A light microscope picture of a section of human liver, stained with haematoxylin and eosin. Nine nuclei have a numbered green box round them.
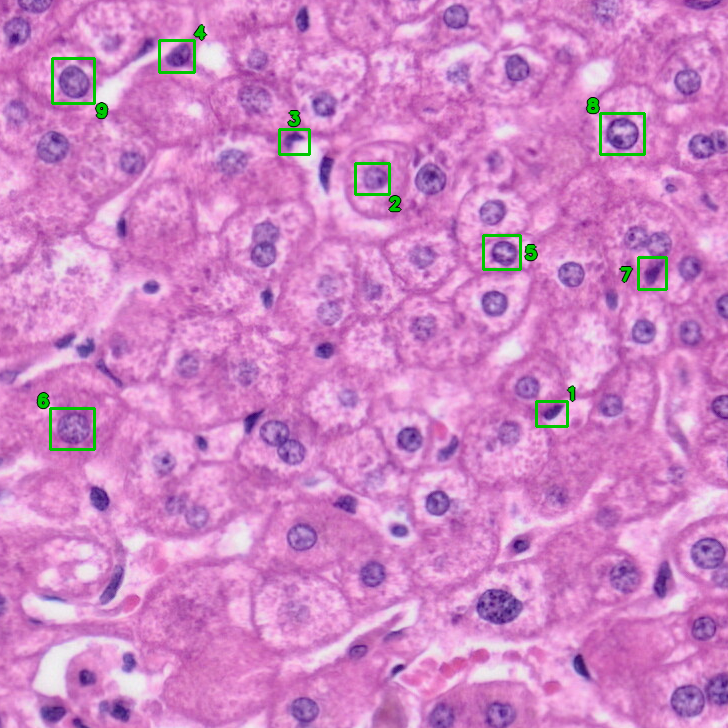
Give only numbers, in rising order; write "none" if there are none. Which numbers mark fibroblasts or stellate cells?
7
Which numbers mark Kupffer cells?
4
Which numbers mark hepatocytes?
2, 5, 6, 8, 9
